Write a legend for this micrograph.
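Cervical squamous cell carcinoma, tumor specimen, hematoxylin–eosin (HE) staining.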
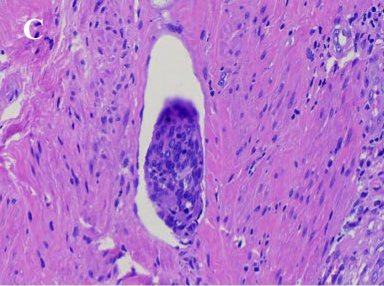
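The space is a clear, elongated oval lumen, bordered by a thin lining of flattened cells. Inside it floats a compact, rounded nest of crowded cells with large, dark purple, irregular nuclei and scant pink cytoplasm, the cluster darker at its upper end and separated from the wall by an empty white gap. Around the lumen, pink fibrous stroma runs in bundles with scattered elongated, spindle-shaped nuclei, and a few small vessels appear toward the right edge.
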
